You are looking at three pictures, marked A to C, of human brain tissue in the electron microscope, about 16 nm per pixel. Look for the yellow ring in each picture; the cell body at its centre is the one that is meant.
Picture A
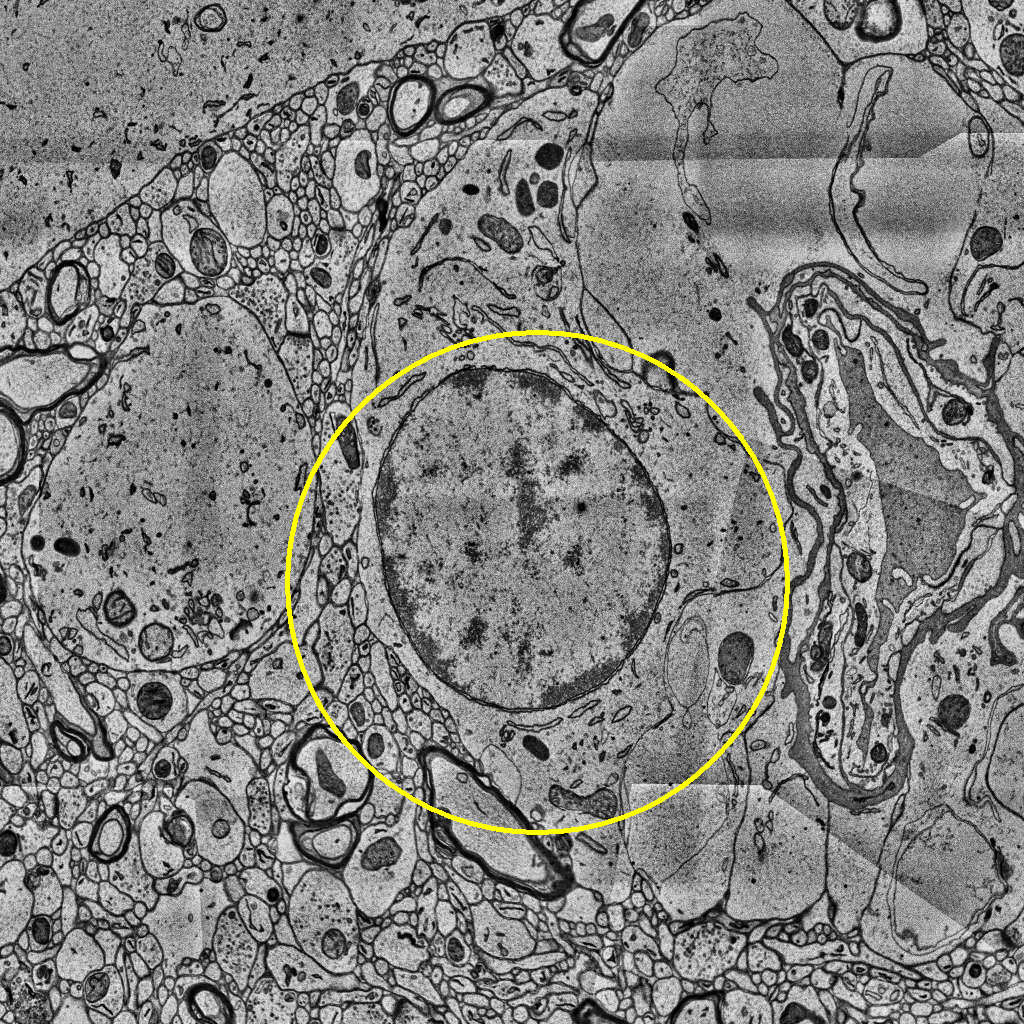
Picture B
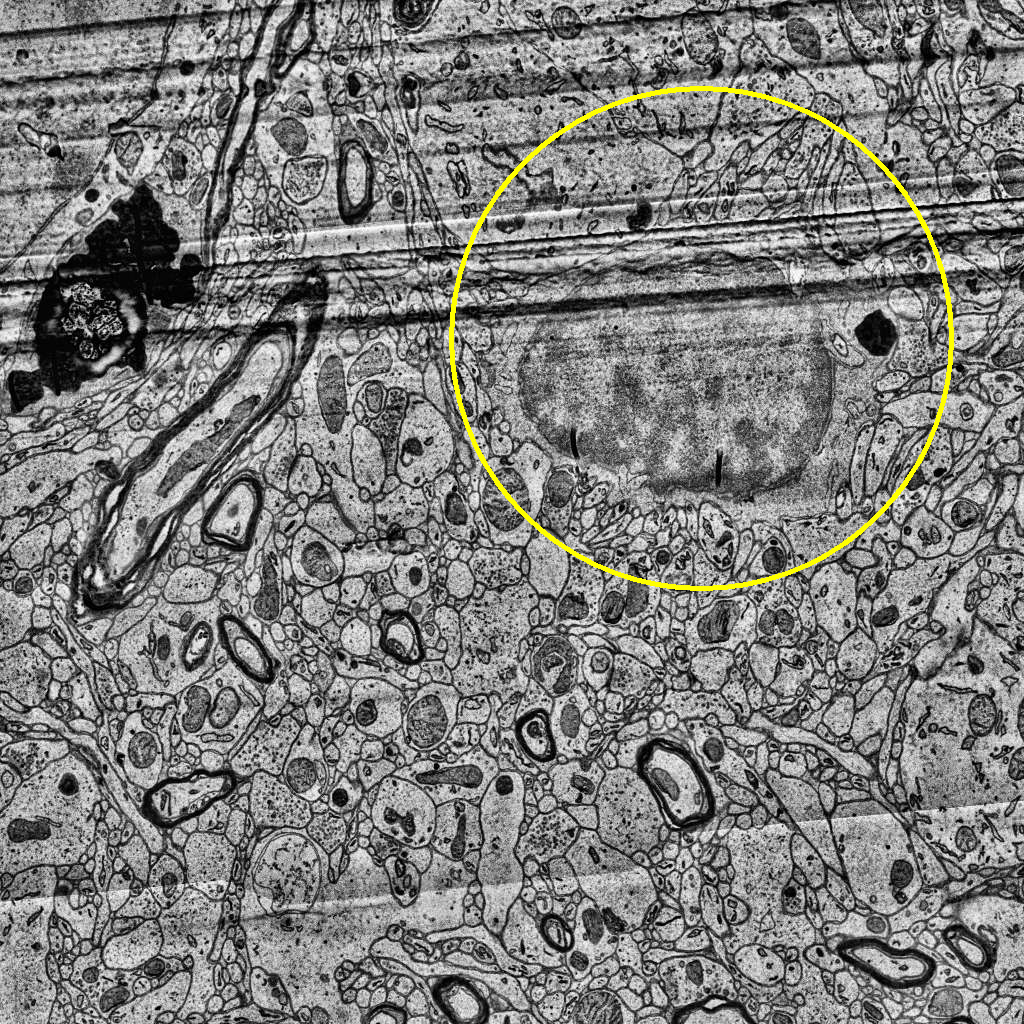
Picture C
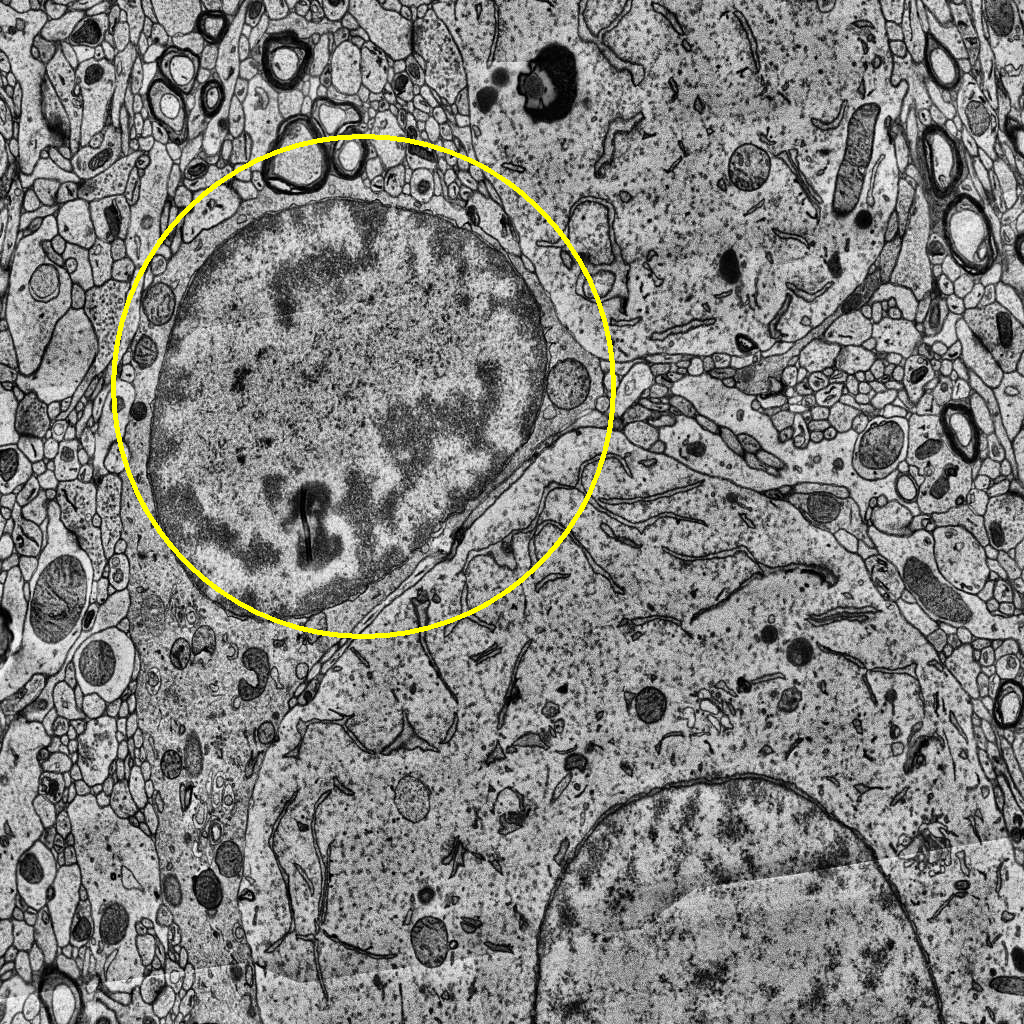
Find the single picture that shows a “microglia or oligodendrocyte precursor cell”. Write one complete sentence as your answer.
The cell in picture A is the “microglia or oligodendrocyte precursor cell”.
